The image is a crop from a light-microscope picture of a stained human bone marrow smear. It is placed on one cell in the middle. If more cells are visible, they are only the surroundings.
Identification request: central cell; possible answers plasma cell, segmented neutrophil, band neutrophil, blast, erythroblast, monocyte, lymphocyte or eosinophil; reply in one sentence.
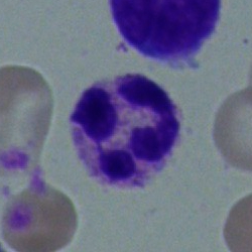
The cell at the heart of this crop is a segmented neutrophil.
